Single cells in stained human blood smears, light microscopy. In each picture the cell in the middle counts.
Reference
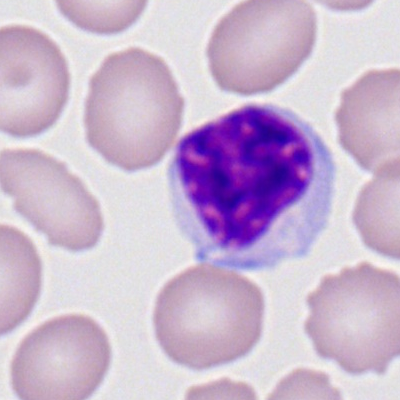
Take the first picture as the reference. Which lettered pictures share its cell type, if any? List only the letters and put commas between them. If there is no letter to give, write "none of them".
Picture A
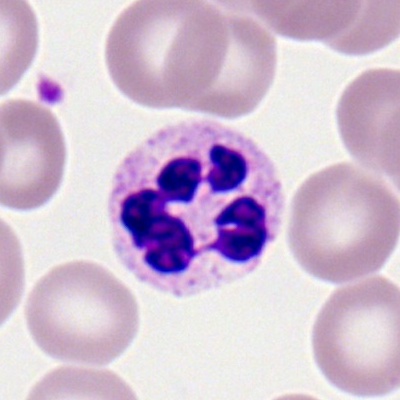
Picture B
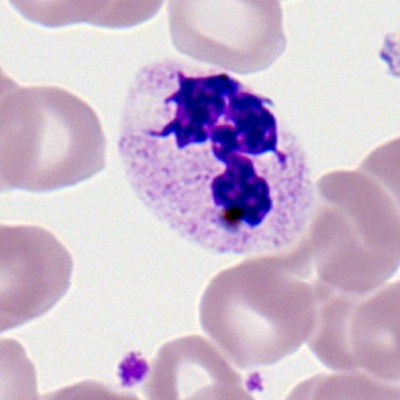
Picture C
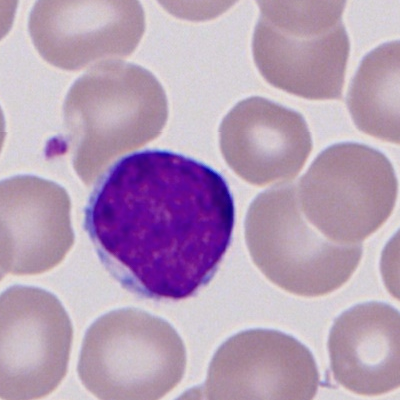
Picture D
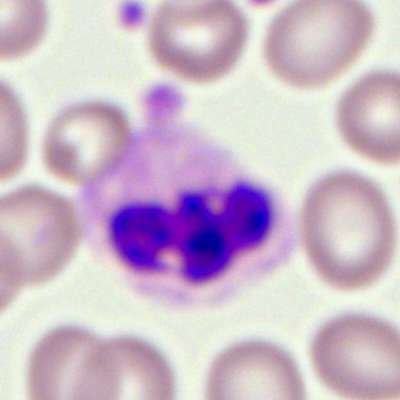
C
